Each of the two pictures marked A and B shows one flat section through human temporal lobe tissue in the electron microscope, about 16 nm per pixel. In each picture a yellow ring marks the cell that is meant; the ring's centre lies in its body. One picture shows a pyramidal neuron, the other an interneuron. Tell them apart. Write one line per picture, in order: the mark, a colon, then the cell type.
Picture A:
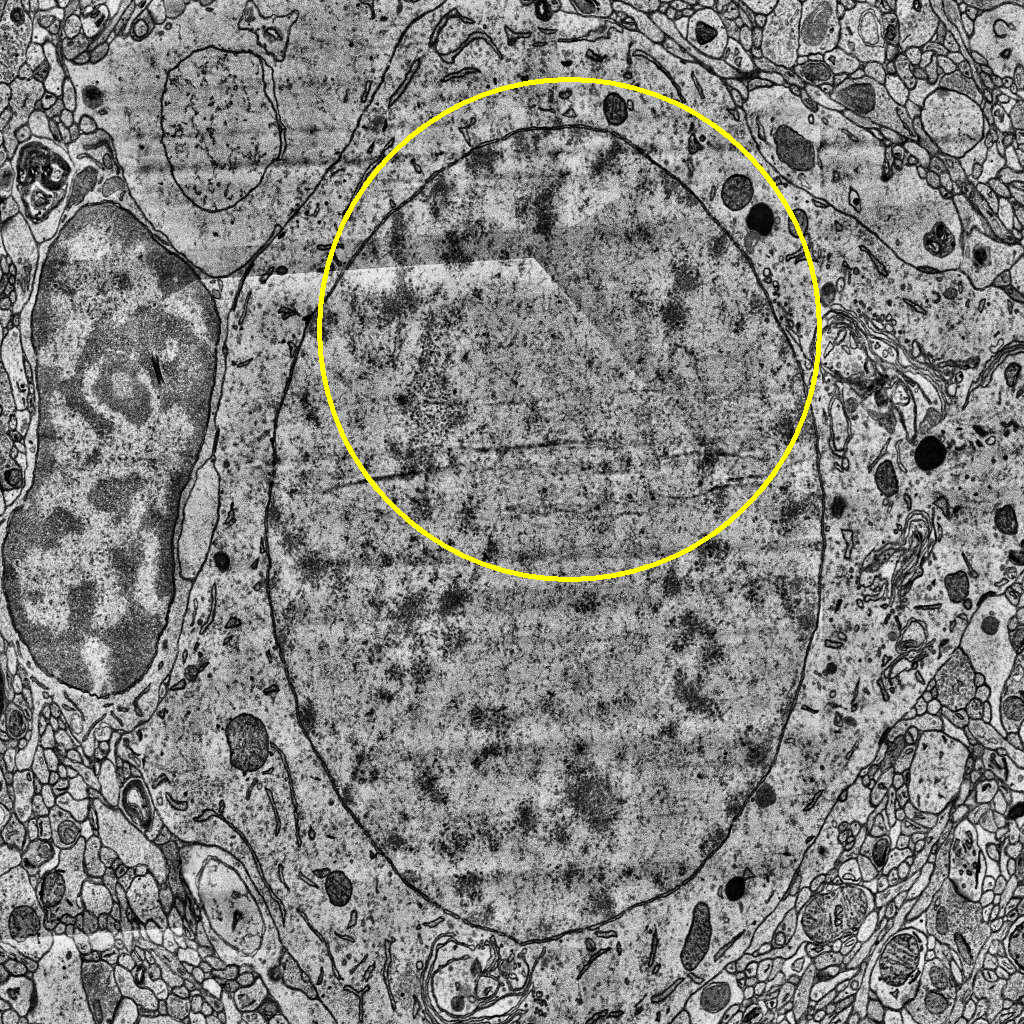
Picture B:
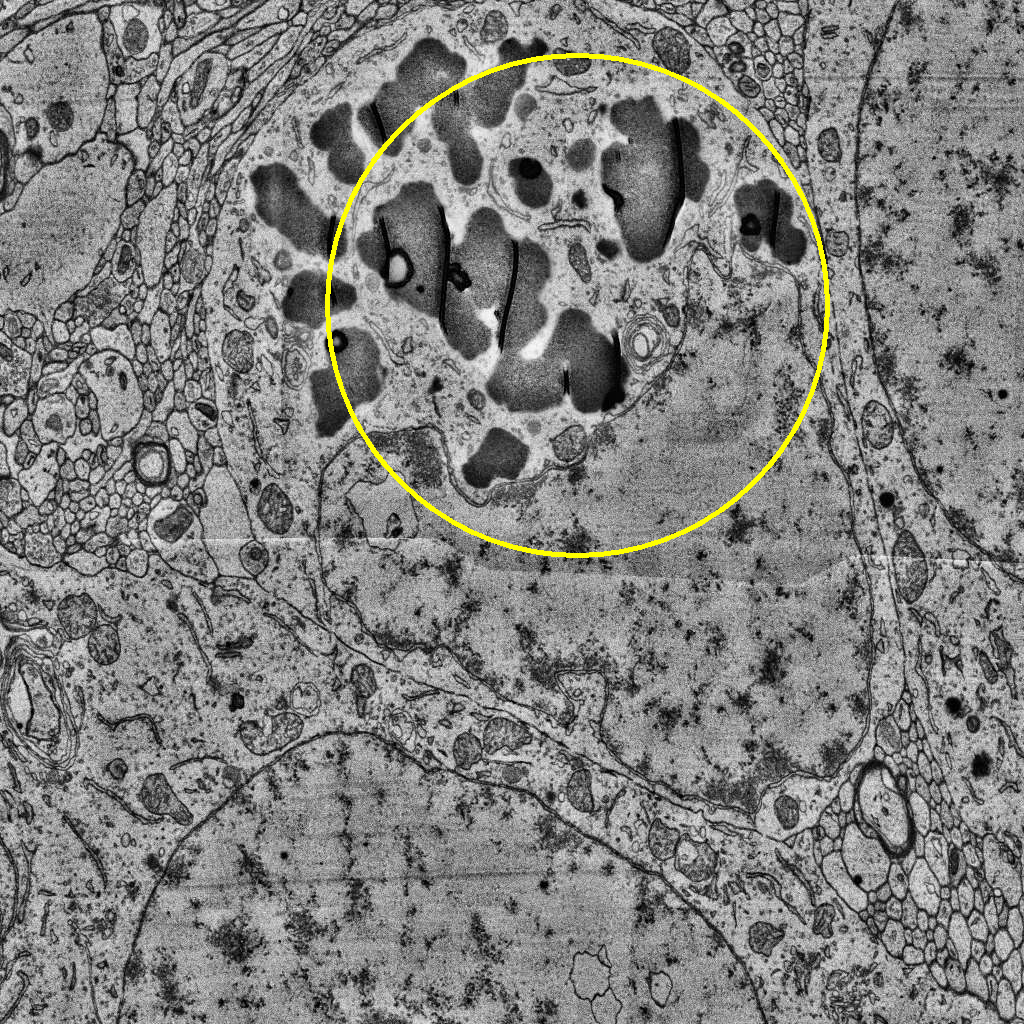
A: pyramidal neuron
B: interneuron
